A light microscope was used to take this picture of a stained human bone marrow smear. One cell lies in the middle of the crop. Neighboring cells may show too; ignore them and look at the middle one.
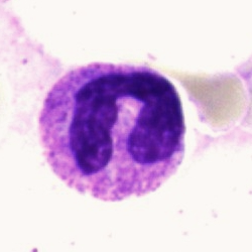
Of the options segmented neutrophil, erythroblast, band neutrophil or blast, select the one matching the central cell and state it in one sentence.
The cell of interest, located centrally, is a segmented neutrophil.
